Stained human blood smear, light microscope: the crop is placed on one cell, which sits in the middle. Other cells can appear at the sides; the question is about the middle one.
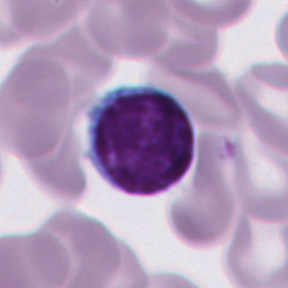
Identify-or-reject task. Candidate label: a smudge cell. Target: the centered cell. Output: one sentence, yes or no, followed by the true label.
No, looking at the central cell, it is a typical lymphocyte rather than a smudge cell.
